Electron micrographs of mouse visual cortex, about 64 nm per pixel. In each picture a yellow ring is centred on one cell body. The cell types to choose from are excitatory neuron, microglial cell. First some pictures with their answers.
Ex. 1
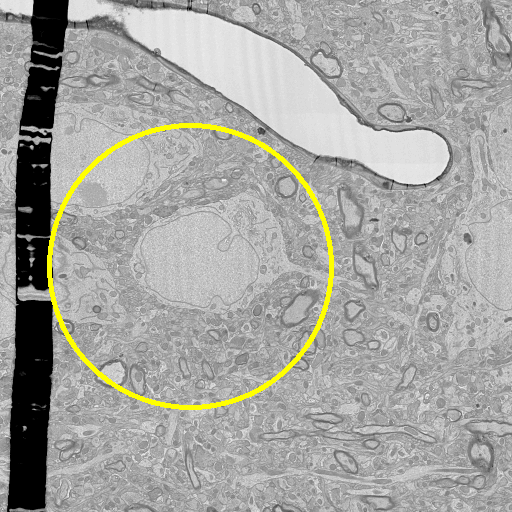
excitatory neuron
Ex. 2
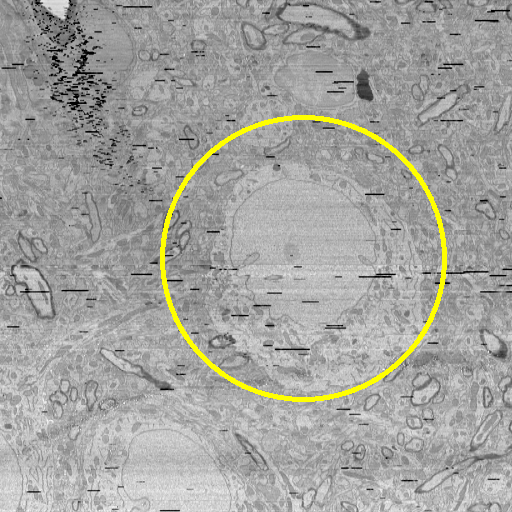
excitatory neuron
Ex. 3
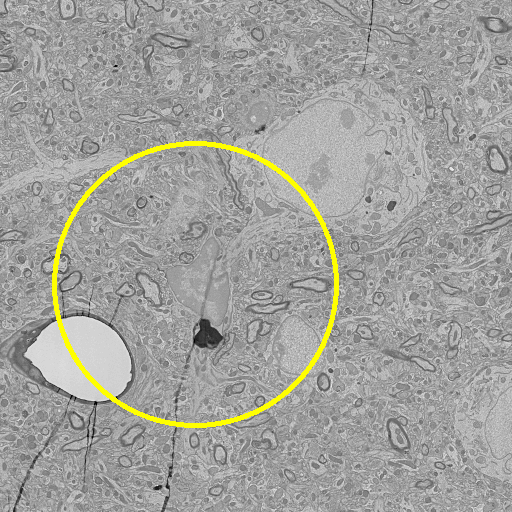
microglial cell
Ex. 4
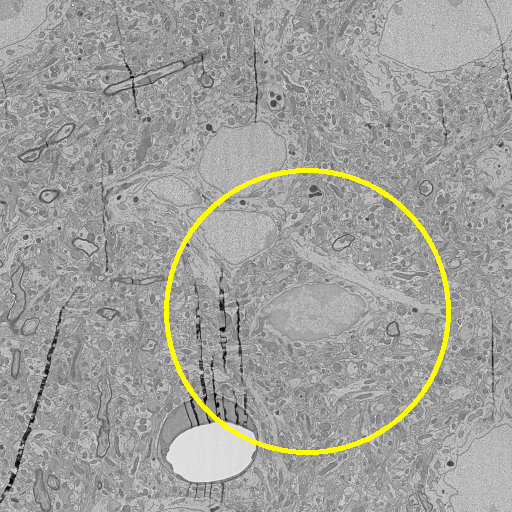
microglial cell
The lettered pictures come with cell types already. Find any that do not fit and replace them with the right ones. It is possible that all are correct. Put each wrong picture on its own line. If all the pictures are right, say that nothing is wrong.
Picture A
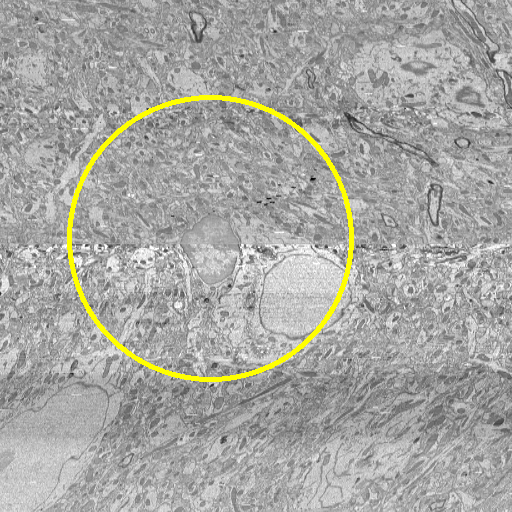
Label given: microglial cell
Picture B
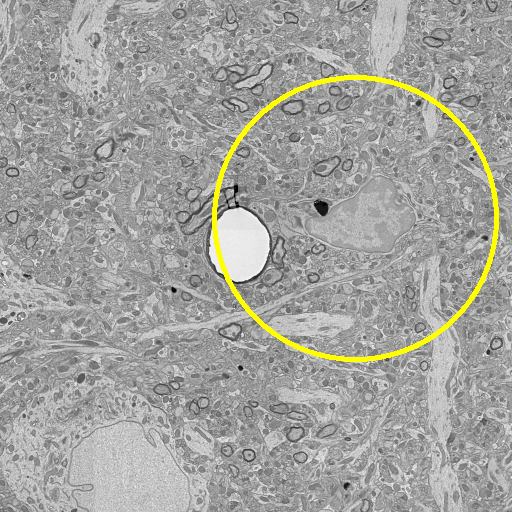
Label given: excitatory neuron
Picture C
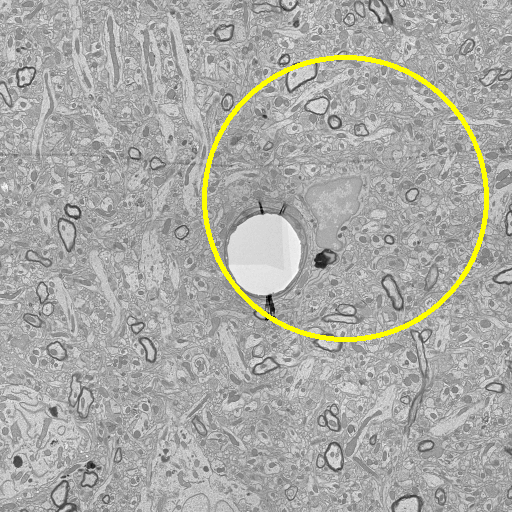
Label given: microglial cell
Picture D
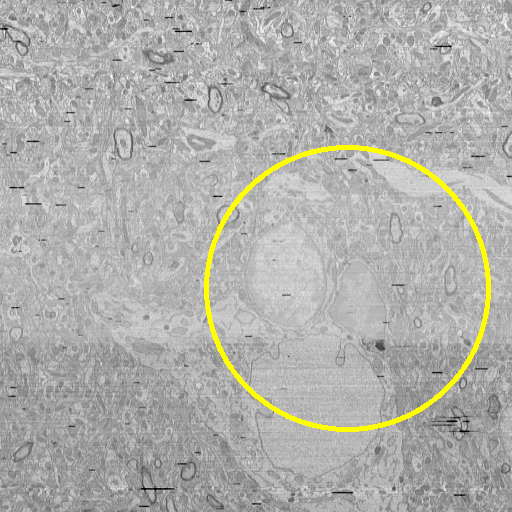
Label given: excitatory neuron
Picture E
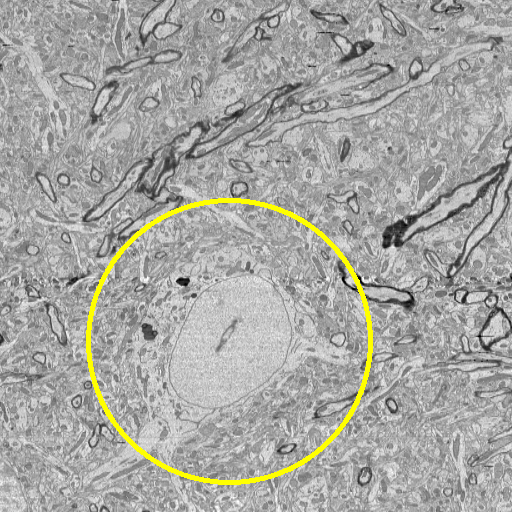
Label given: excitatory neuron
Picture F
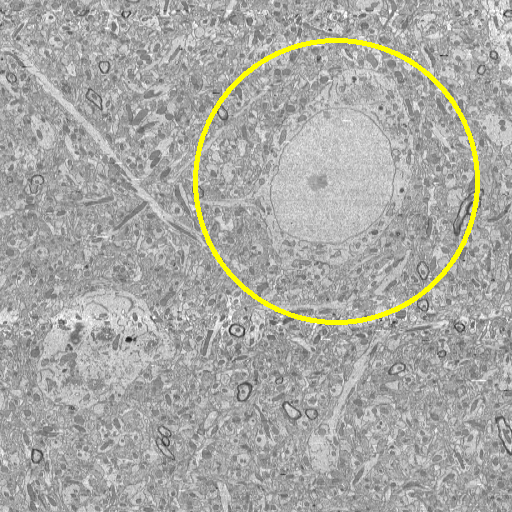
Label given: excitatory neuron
B: not excitatory neuron but microglial cell
D: not excitatory neuron but microglial cell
